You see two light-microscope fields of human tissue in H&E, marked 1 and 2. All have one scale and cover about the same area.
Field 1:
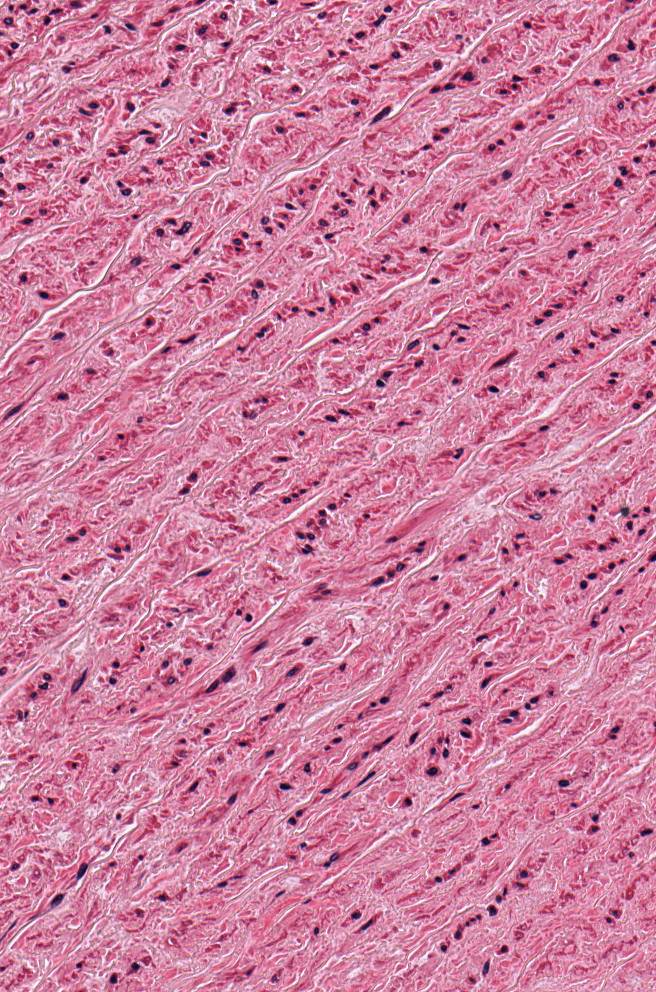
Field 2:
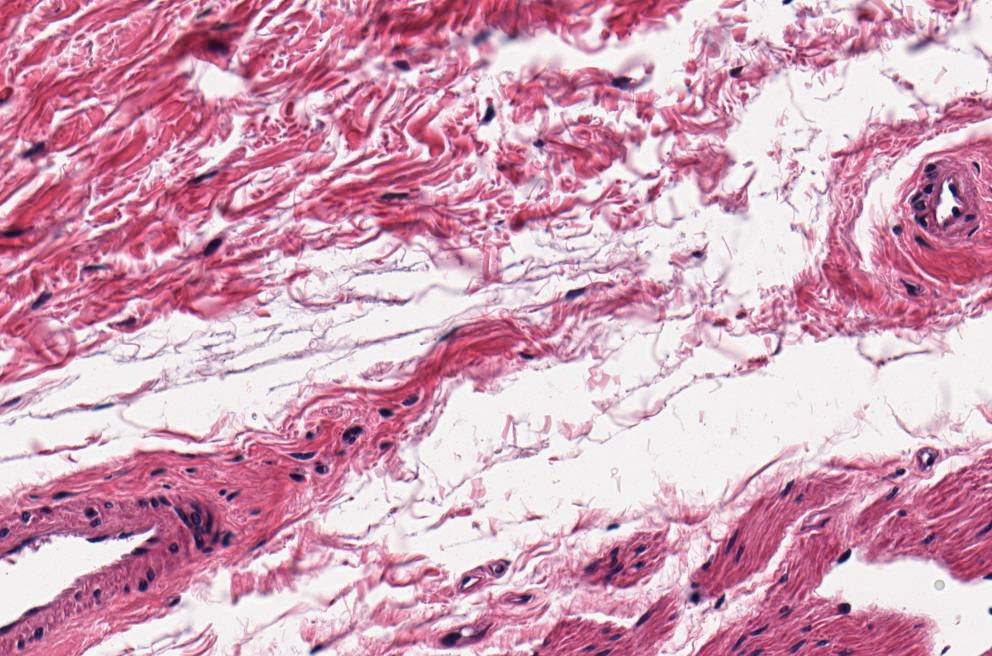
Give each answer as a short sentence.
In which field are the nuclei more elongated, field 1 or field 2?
Longer, more slender nuclei lie in field 2.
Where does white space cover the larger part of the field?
It is field 2 in which white space covers the larger part.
